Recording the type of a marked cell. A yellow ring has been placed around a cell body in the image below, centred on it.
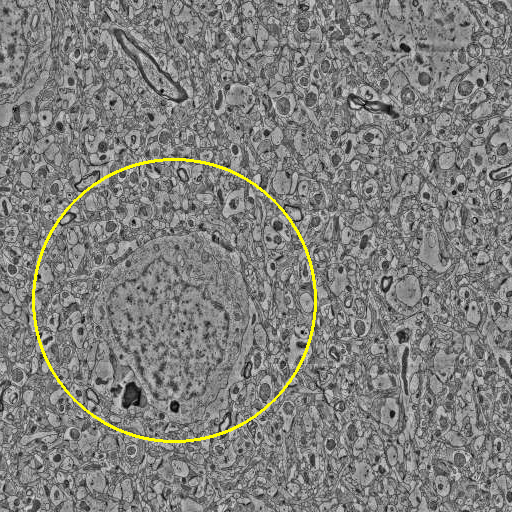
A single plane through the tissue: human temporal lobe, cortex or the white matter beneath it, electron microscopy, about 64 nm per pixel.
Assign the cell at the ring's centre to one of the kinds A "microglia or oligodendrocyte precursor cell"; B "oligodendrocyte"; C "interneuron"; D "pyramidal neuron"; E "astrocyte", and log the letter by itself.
C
